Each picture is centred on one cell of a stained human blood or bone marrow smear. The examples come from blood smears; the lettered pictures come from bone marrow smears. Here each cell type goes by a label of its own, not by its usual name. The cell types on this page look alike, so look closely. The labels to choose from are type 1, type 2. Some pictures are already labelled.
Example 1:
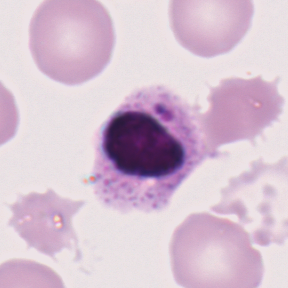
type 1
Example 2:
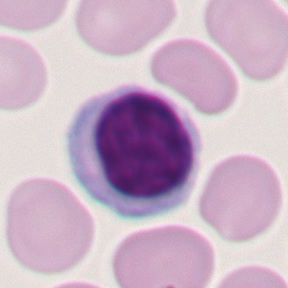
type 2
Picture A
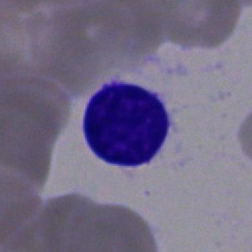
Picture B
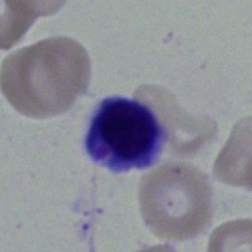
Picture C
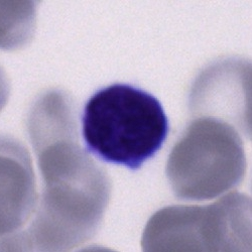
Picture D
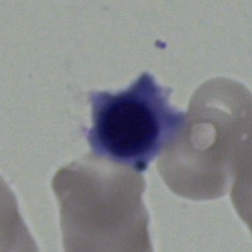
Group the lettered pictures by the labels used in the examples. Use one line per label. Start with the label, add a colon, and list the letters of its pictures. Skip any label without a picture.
type 1: B, D
type 2: A, C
